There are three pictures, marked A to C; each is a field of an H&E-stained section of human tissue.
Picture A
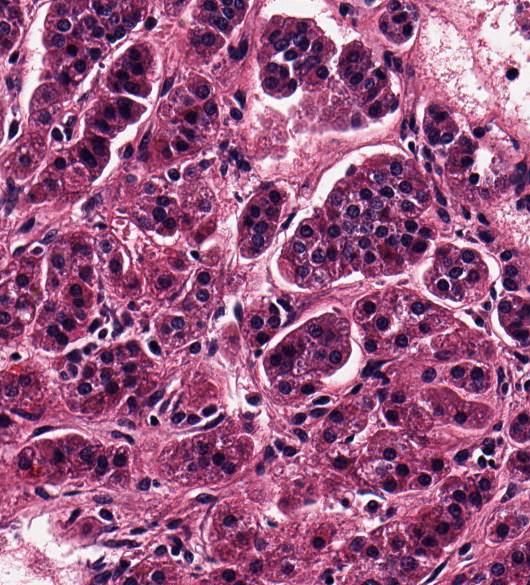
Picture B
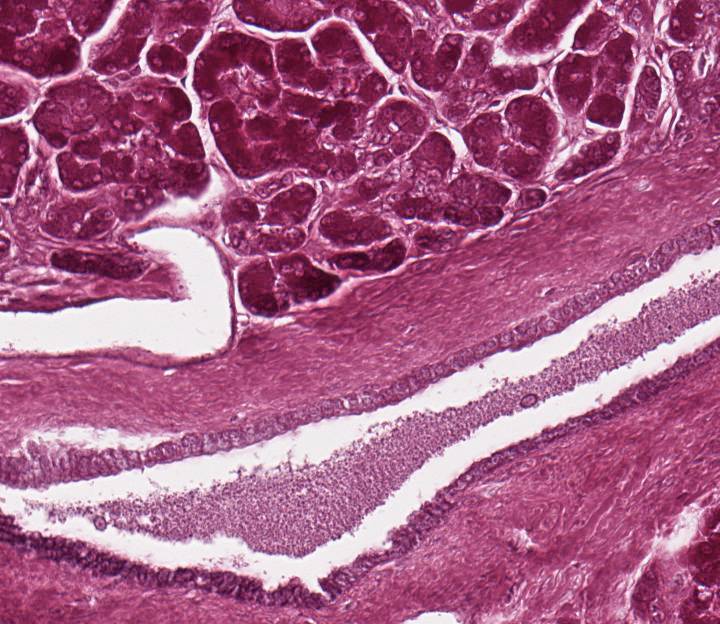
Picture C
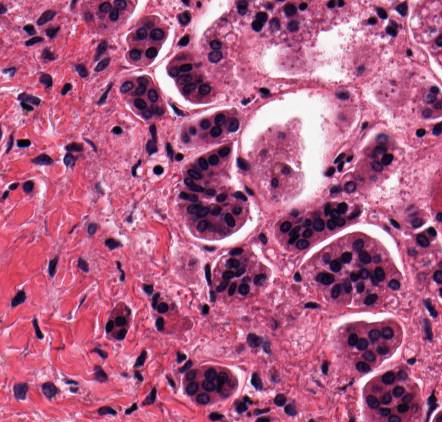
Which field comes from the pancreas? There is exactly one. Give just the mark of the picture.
B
